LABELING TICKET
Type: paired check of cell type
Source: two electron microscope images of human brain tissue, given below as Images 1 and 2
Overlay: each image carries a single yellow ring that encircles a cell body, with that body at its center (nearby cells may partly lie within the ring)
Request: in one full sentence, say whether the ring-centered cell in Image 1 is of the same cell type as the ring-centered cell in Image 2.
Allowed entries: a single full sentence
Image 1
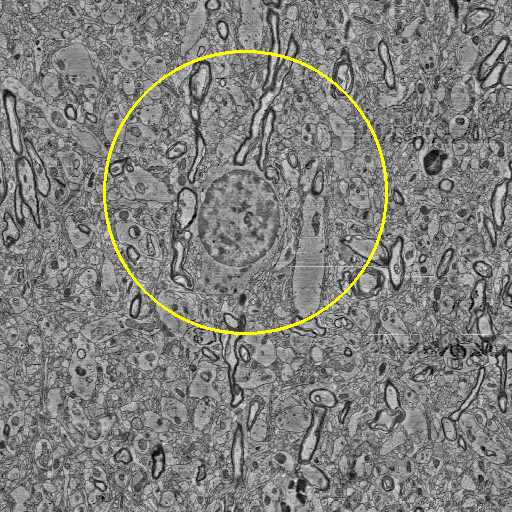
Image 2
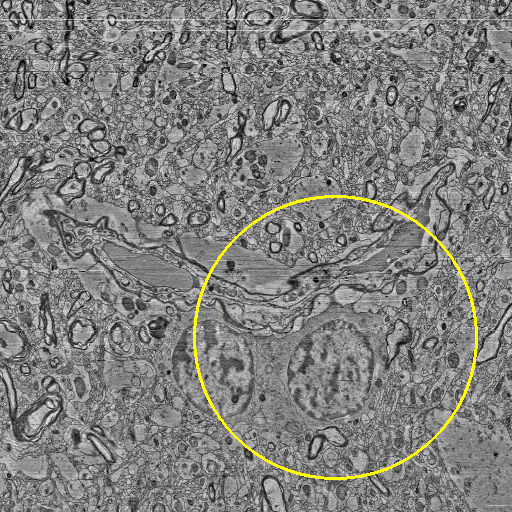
Yes, the cells centered in the rings of Image 1 and Image 2 share one type.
